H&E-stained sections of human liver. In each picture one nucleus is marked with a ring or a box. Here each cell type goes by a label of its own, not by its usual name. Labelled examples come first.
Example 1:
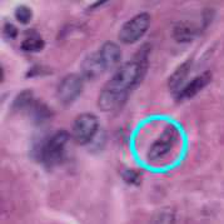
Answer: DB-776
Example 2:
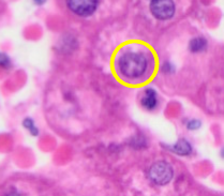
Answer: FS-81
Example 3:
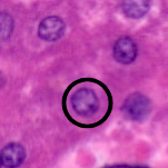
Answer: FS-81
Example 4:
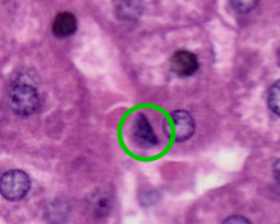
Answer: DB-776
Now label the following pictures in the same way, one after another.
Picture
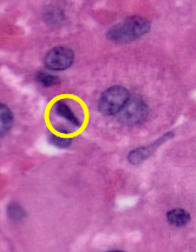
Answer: DB-776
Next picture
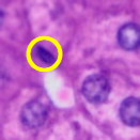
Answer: DB-776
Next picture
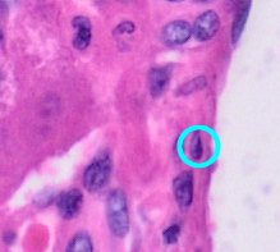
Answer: DB-776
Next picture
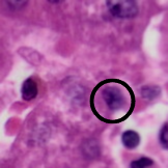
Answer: DB-776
